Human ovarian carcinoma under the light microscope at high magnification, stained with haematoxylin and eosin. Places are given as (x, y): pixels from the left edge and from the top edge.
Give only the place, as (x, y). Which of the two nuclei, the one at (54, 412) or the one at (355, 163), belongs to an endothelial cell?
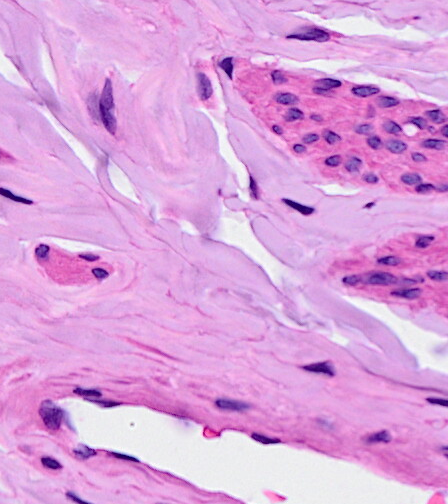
(54, 412)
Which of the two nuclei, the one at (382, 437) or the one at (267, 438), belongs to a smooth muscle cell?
(382, 437)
